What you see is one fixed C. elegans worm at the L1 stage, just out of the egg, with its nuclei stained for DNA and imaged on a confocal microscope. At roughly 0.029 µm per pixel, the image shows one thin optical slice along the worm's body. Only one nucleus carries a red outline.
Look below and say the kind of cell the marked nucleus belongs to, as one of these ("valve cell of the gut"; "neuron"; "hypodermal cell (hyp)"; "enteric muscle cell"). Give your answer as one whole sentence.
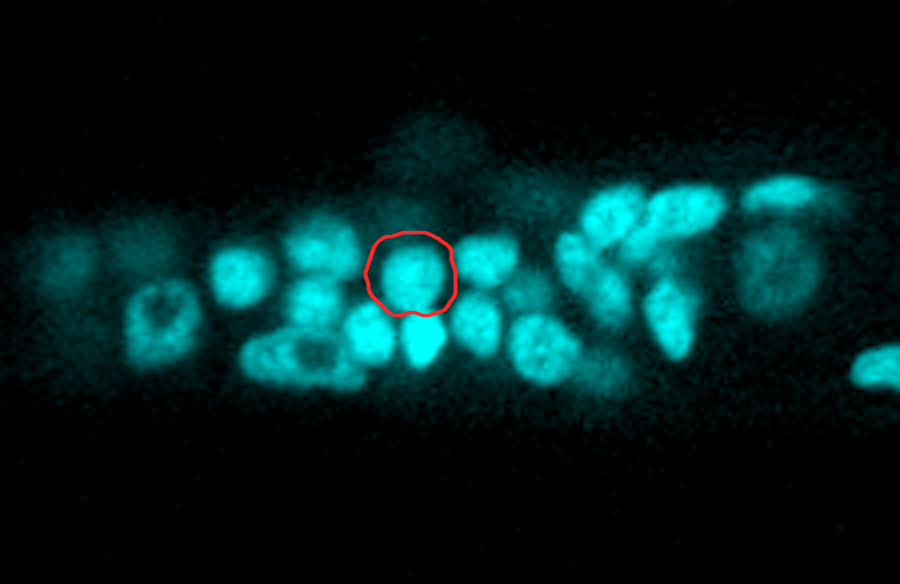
The marked cell is a neuron.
